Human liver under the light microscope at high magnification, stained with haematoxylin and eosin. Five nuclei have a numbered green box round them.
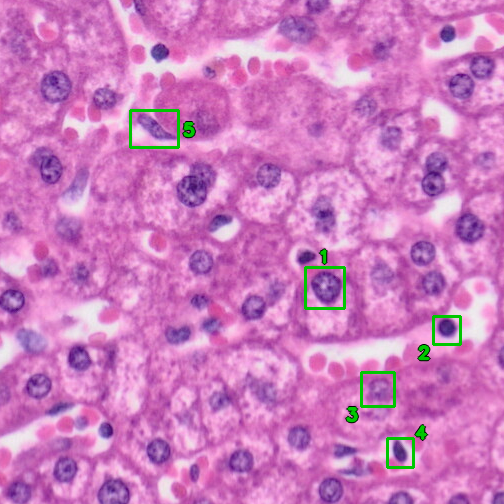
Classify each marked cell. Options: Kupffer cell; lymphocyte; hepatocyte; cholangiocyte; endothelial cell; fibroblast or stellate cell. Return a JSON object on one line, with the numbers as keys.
{"1": "hepatocyte", "2": "lymphocyte", "3": "hepatocyte", "4": "lymphocyte", "5": "Kupffer cell"}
